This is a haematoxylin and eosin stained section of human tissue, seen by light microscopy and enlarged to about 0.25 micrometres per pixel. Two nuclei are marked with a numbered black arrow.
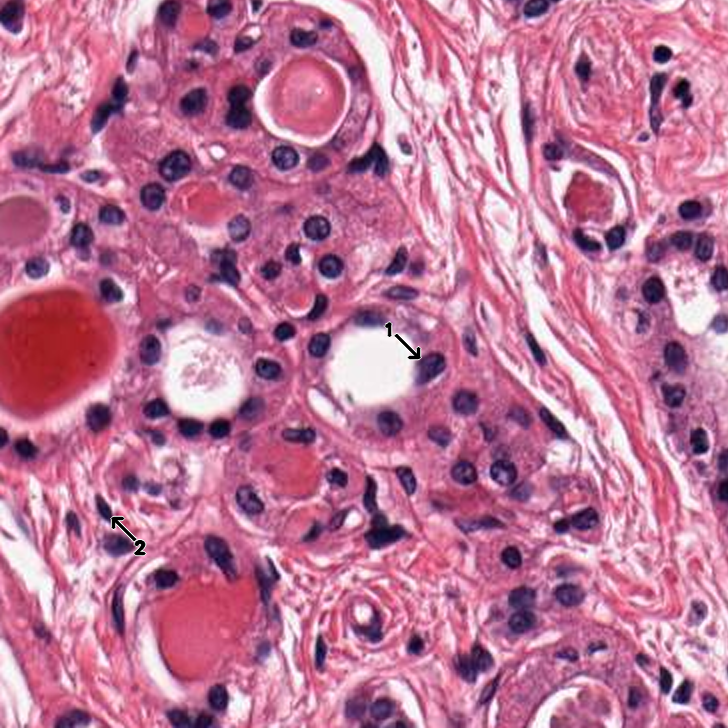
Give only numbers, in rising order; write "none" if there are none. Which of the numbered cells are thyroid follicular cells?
1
